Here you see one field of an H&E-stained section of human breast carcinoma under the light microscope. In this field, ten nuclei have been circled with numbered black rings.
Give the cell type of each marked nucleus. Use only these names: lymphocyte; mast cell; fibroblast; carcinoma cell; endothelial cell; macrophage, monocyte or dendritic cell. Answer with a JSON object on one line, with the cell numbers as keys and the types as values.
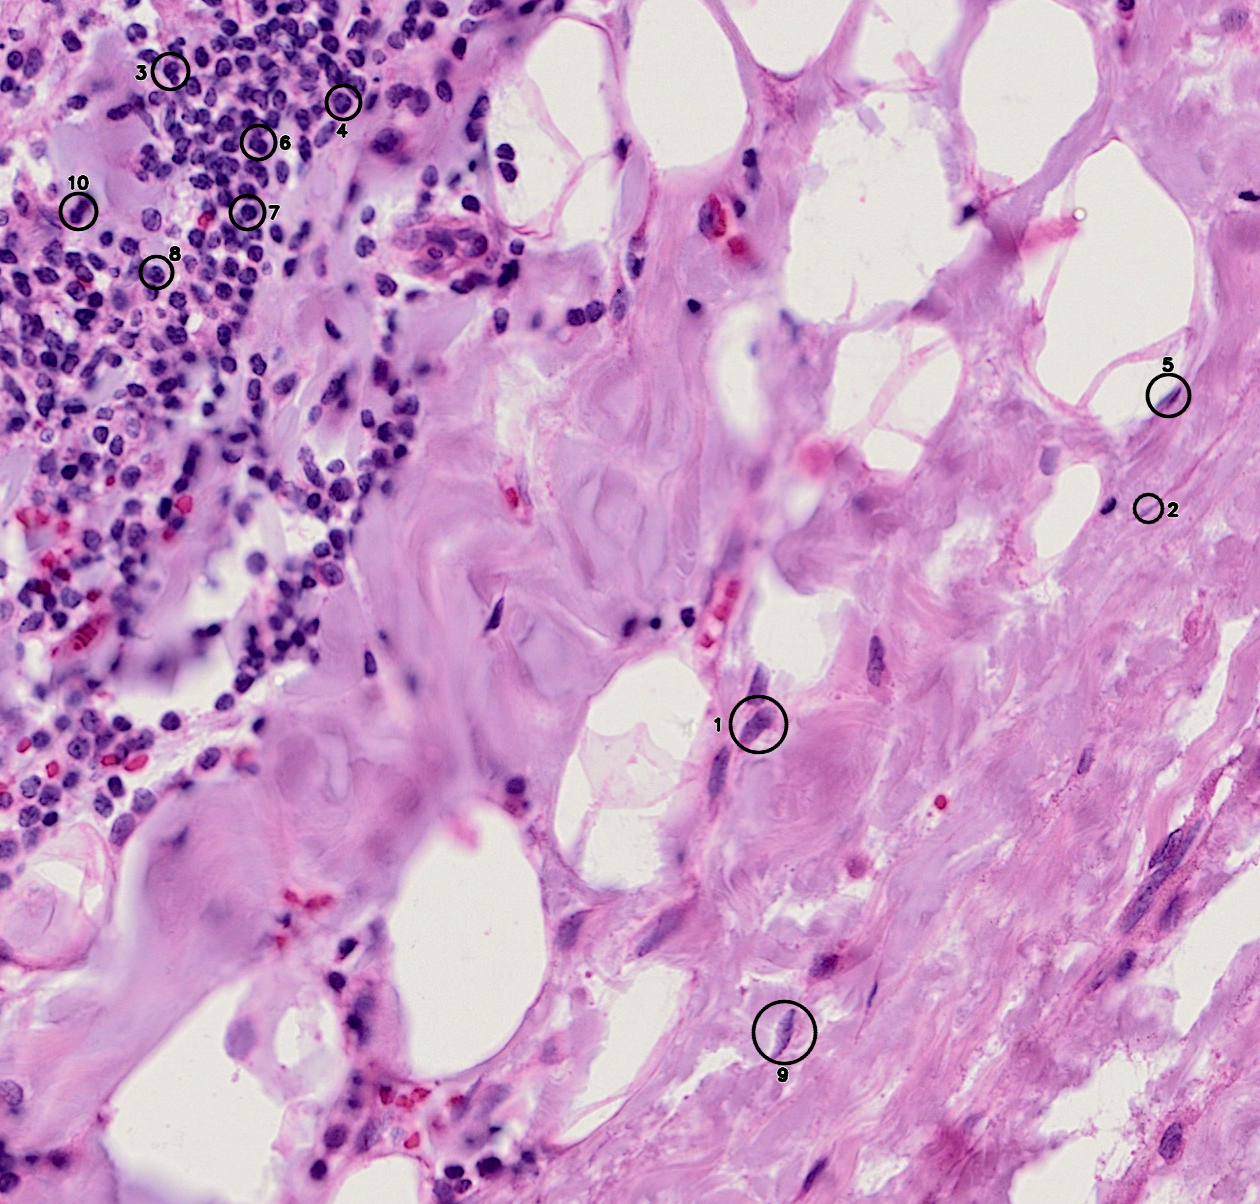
{"1": "fibroblast", "2": "fibroblast", "3": "lymphocyte", "4": "lymphocyte", "5": "fibroblast", "6": "lymphocyte", "7": "lymphocyte", "8": "lymphocyte", "9": "fibroblast", "10": "lymphocyte"}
